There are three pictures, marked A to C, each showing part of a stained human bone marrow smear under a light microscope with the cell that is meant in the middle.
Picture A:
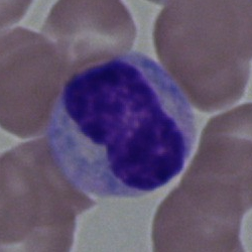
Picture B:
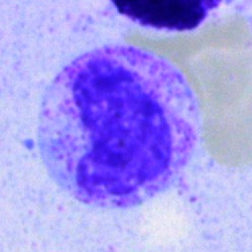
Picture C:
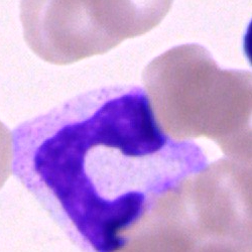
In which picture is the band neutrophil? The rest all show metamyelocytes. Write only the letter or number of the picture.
C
